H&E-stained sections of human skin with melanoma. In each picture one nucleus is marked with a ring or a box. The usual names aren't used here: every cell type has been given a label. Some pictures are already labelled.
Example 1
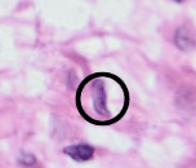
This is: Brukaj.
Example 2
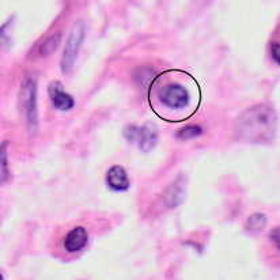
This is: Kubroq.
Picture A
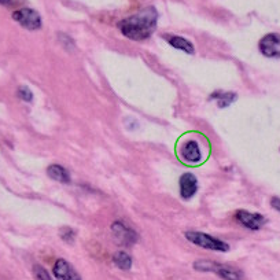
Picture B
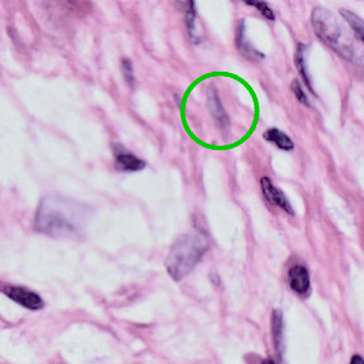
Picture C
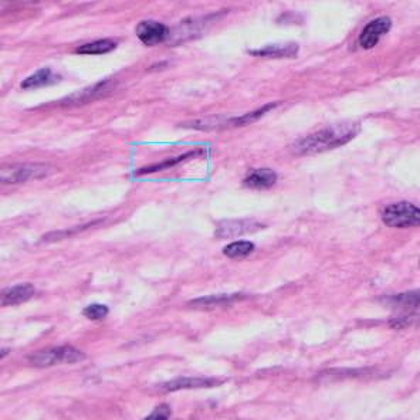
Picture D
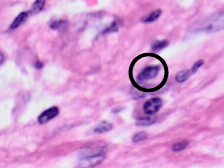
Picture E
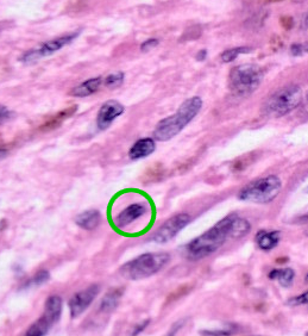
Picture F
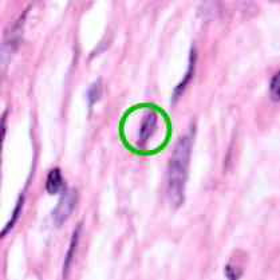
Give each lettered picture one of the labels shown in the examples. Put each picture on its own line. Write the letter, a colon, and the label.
A: Kubroq.
B: Brukaj.
C: Brukaj.
D: Kubroq.
E: Kubroq.
F: Brukaj.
